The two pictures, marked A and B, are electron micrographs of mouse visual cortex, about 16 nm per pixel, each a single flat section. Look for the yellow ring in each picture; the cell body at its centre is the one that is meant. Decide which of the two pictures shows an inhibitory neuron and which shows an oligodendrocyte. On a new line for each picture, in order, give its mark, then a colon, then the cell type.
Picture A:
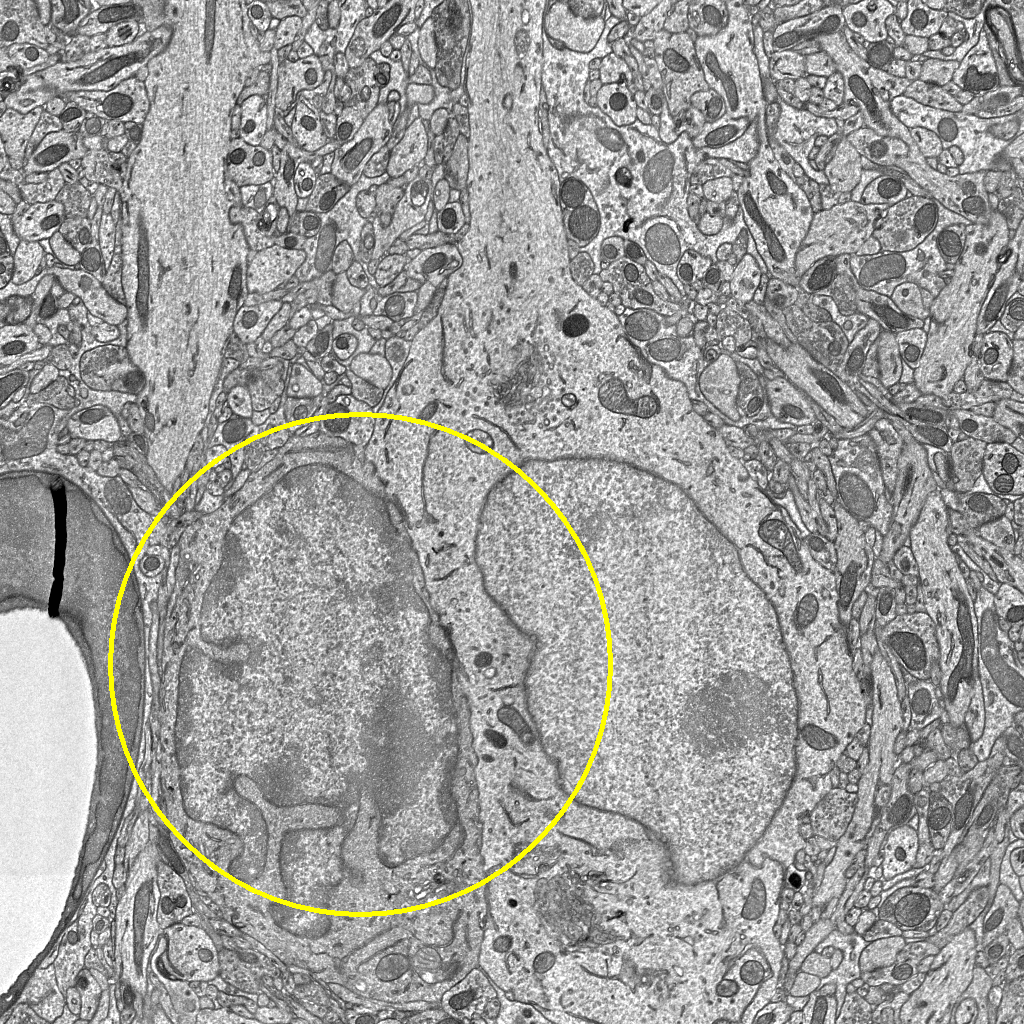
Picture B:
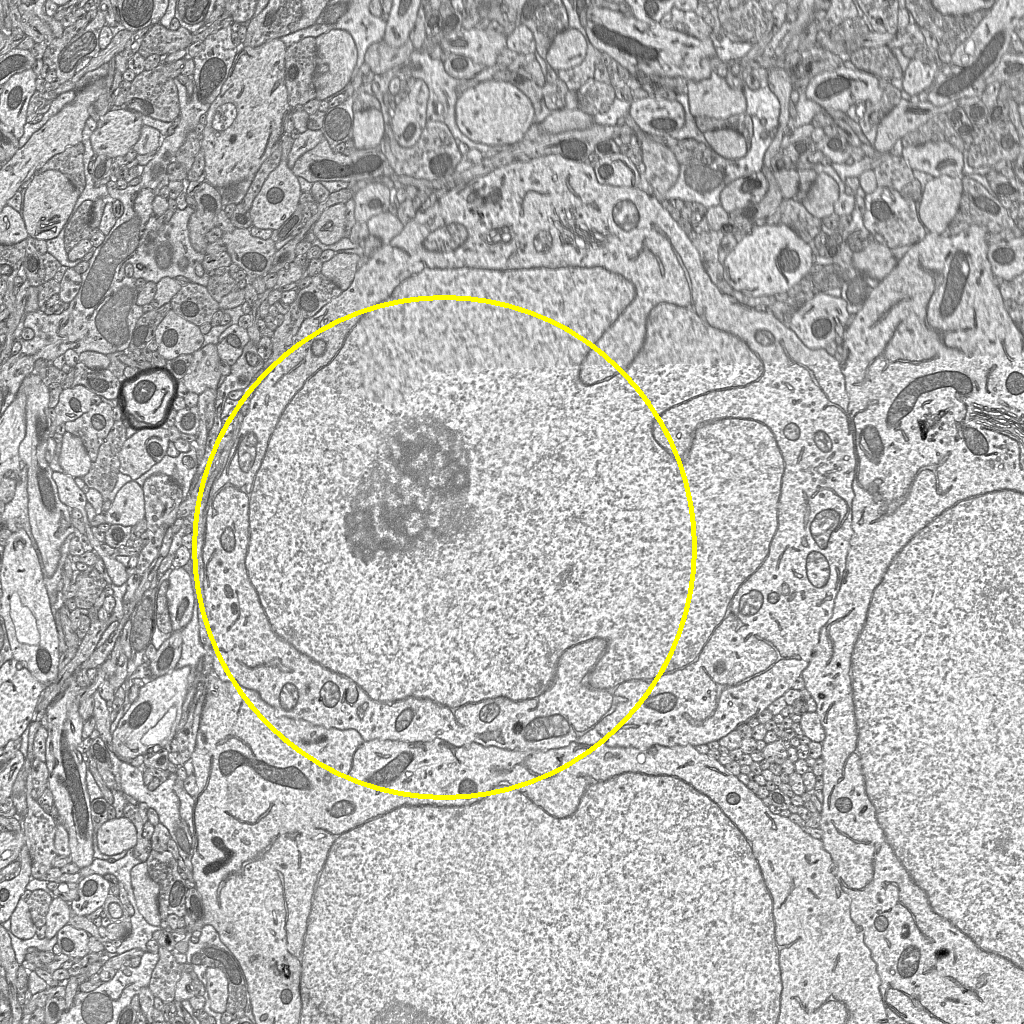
A: oligodendrocyte
B: inhibitory neuron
